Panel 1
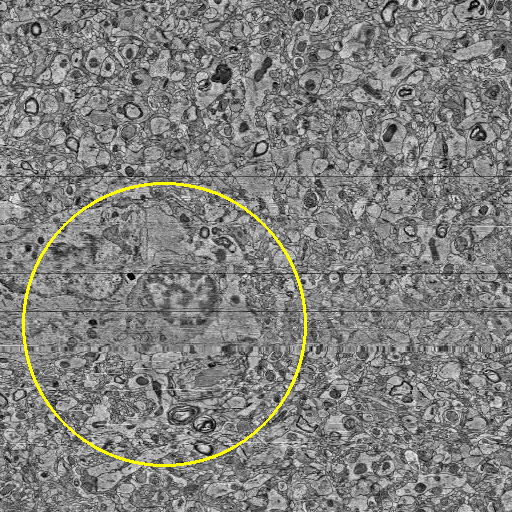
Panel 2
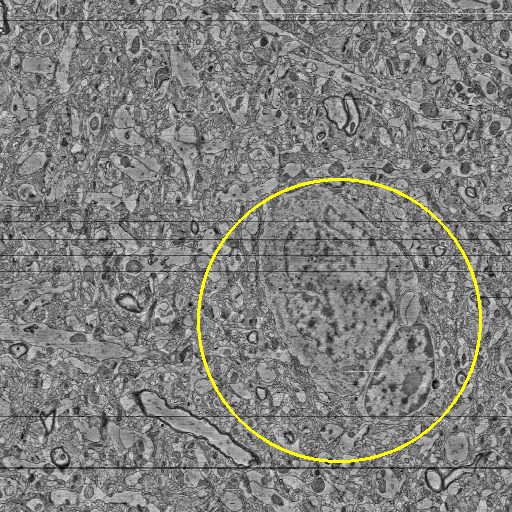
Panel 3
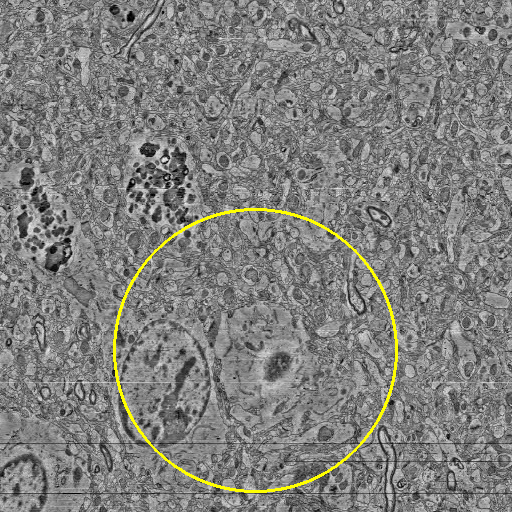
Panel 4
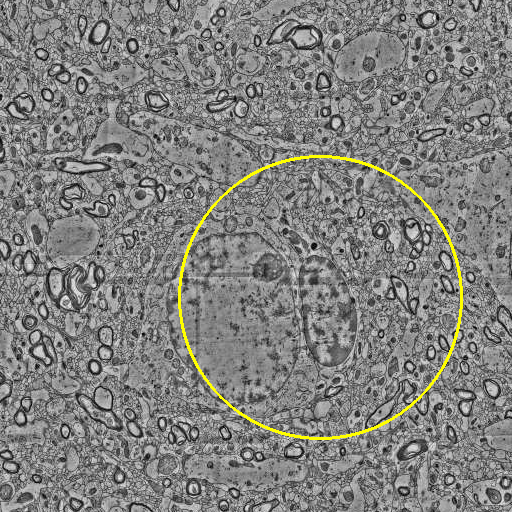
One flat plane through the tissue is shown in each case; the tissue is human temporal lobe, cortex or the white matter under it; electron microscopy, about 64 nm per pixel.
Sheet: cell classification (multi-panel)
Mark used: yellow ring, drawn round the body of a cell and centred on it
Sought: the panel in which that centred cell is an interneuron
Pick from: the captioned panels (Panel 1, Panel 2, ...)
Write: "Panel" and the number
Panel 2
